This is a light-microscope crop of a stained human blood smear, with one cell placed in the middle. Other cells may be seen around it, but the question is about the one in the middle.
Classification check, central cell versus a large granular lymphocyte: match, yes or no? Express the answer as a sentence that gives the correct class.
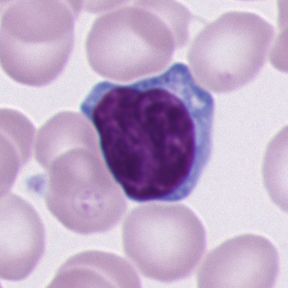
No, this is not a large granular lymphocyte at all; the cell in the middle is a typical lymphocyte.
